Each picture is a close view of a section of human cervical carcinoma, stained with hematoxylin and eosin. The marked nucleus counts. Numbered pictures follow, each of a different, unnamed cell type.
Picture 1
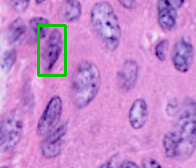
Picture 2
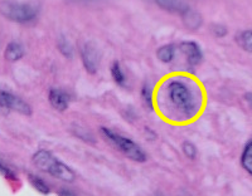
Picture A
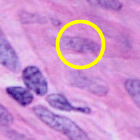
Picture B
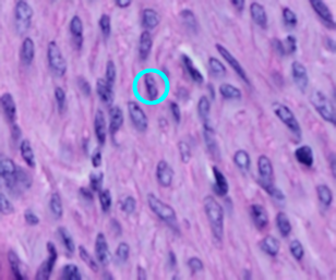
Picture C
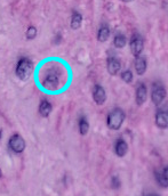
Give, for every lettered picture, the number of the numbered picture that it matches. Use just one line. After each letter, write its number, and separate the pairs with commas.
A 2, B 2, C 2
